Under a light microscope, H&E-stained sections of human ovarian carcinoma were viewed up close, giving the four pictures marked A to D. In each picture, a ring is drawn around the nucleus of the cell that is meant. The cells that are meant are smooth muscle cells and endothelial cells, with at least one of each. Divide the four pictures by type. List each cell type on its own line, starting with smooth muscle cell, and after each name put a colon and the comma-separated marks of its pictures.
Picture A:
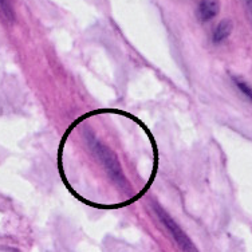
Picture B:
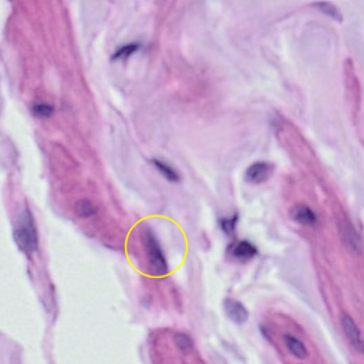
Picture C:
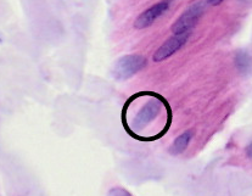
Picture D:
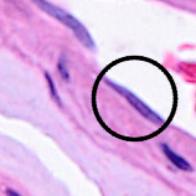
smooth muscle cell: A, B, C
endothelial cell: D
